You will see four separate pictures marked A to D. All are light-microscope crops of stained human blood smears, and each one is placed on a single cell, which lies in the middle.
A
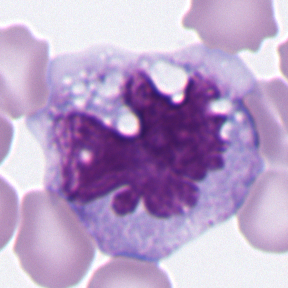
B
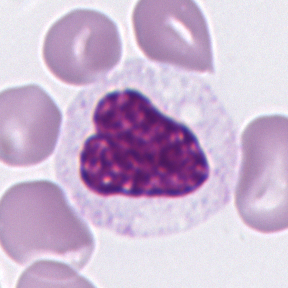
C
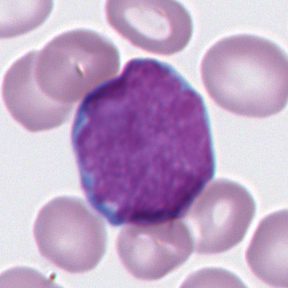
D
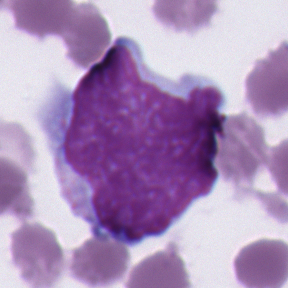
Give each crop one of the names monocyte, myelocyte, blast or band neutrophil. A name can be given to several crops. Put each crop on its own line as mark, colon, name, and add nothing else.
A: monocyte
B: band neutrophil
C: blast
D: blast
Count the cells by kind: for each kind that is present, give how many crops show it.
blast: 2
monocyte: 1
band neutrophil: 1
